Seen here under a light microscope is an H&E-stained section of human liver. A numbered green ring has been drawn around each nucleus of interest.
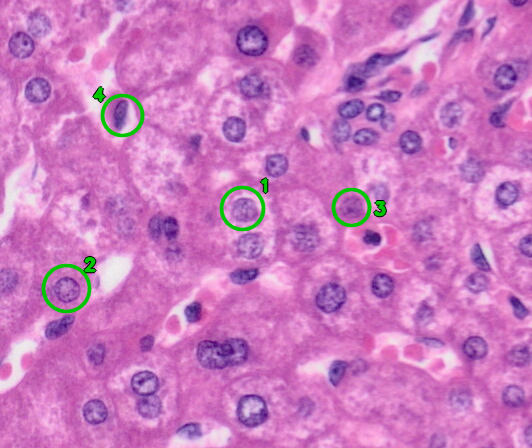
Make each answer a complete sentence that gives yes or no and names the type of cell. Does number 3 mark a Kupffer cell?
No, the correct answer for cell 3 is a hepatocyte, not a Kupffer cell.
